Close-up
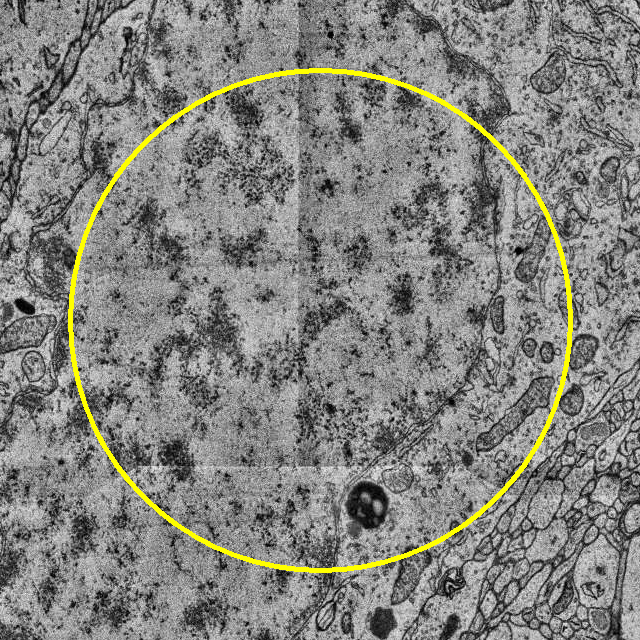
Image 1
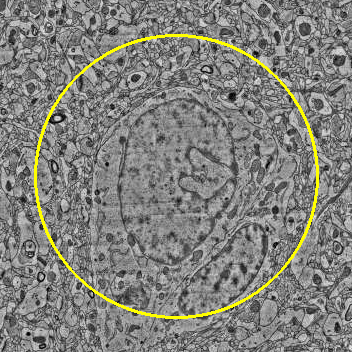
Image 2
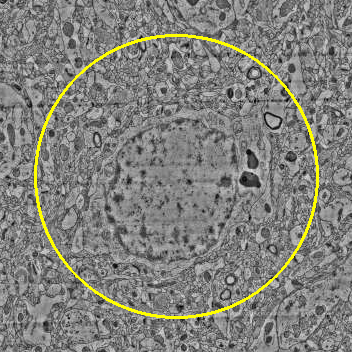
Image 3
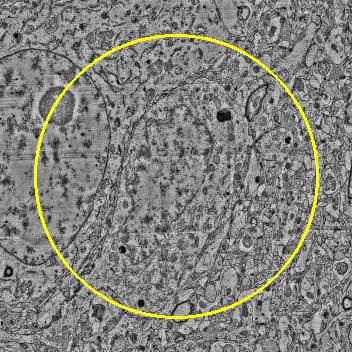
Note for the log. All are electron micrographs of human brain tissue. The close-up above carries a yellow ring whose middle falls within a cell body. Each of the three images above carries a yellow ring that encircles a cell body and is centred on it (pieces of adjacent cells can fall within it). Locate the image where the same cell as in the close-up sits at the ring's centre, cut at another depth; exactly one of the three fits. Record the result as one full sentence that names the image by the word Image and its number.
The cell featured in the close-up is found in Image 3.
